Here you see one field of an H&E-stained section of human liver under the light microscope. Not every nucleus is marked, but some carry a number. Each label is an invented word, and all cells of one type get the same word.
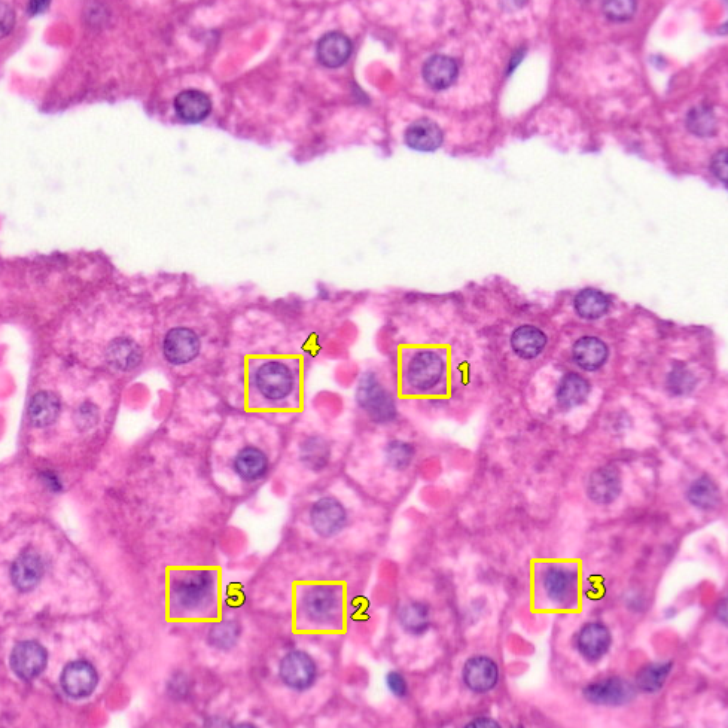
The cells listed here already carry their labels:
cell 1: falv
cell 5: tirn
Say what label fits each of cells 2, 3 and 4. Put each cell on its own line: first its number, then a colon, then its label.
2: falv
3: tirn
4: falv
